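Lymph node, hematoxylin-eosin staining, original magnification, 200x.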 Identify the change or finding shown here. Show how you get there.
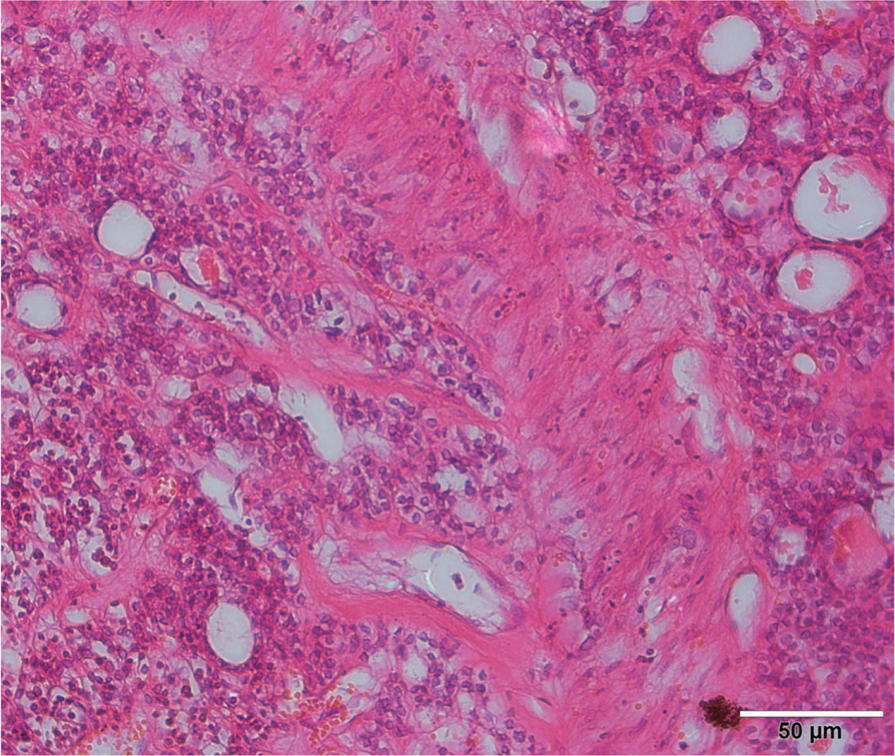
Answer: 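Epithelial cells form many small round follicles with central lumina. Other cells lie in cords and sheets separated by pink fibrous bands. No finger-like papillary fronds with fibrovascular cores are seen. That points to this answer: microfollicular or trabecular shape.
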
